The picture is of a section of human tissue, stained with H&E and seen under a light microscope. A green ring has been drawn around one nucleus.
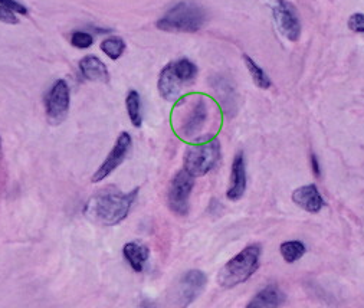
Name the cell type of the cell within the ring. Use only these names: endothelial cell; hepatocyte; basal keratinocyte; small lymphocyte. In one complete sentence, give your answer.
Microscopically, the cell within the ring is categorized as an endothelial cell.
